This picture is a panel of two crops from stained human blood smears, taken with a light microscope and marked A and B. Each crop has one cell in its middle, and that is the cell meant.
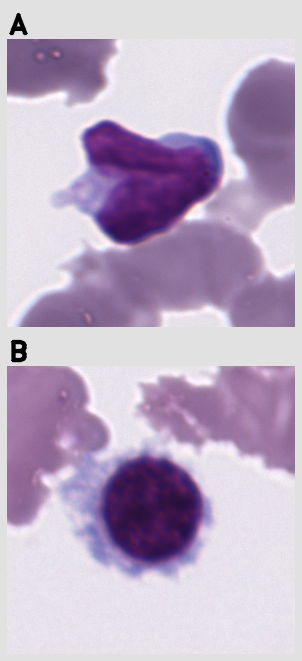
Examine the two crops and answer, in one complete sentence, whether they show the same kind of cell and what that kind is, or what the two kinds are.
No, the cell that crop A shows is a myeloblast, and the one crop B shows is a hairy cell.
